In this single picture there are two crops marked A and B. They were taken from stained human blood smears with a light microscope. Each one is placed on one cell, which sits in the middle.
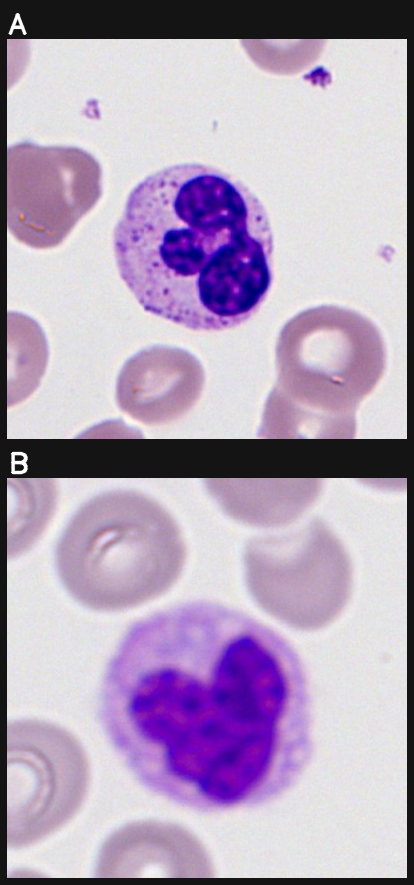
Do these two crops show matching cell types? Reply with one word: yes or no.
no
